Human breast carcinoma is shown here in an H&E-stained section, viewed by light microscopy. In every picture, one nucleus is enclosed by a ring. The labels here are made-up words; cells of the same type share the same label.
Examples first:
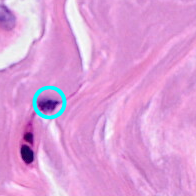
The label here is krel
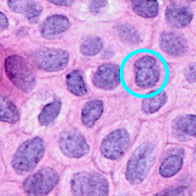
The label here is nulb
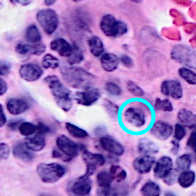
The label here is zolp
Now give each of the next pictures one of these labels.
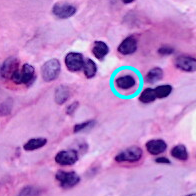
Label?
zolp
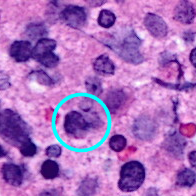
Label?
nulb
